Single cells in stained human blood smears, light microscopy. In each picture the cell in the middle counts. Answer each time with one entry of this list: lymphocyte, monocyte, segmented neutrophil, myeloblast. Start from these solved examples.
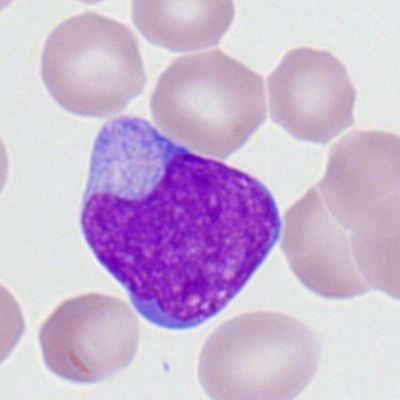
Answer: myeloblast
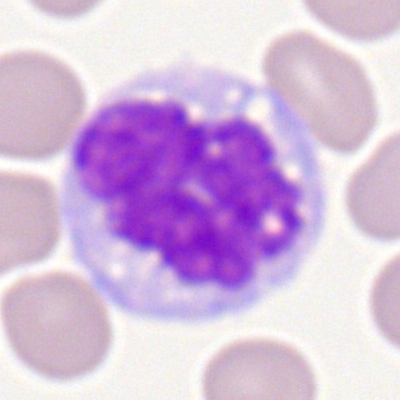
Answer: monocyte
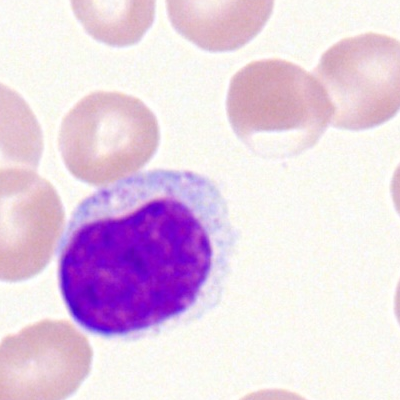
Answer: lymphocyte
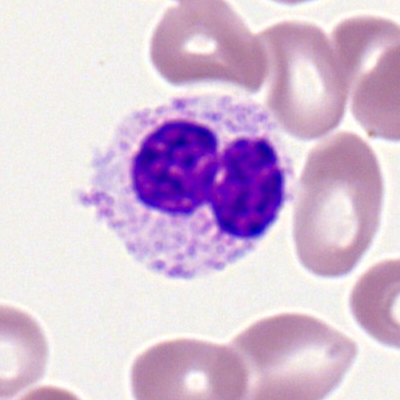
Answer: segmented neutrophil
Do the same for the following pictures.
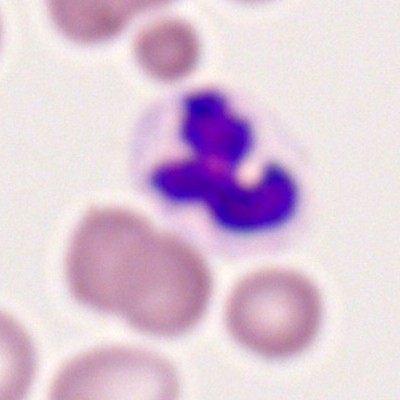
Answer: segmented neutrophil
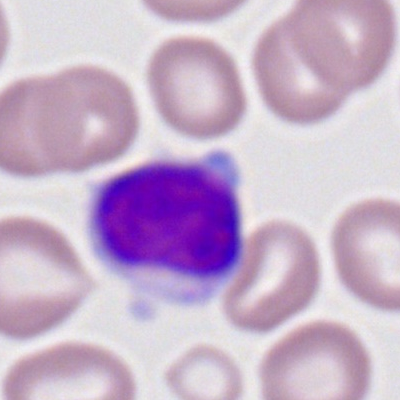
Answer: lymphocyte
